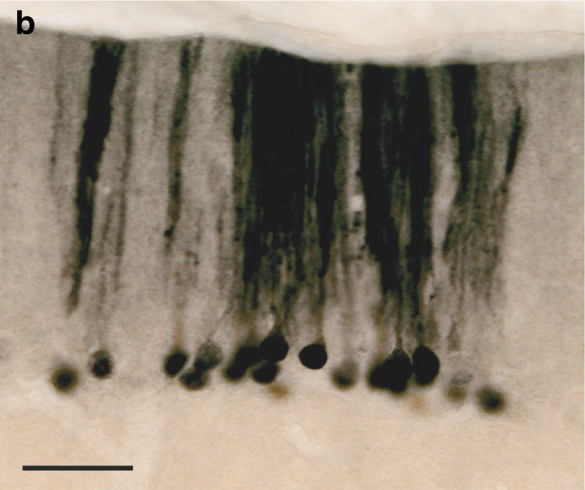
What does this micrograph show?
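This is cerebellar cortex with a row of Purkinje cells stained dark brown-black. Their round, large cell bodies lie side by side in a single layer near the bottom of the field. The stained cells are grouped, with lighter gaps between the clusters, and some cell bodies are paler than others. Below the row the tissue is pale and unstained; the surface of the folium runs across the top.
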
